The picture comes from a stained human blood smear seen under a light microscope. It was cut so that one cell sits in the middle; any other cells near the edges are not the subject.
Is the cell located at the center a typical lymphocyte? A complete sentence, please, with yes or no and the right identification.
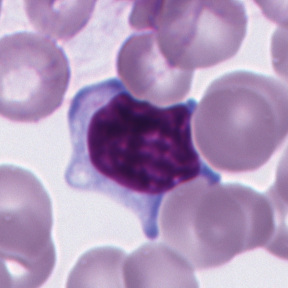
Yes, the identification of the central cell as a typical lymphocyte is correct.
